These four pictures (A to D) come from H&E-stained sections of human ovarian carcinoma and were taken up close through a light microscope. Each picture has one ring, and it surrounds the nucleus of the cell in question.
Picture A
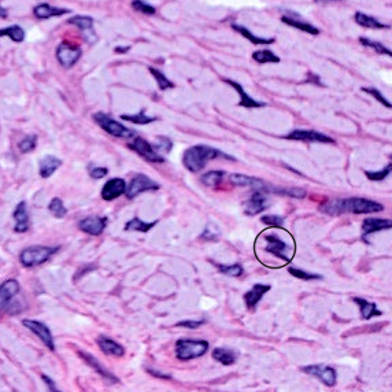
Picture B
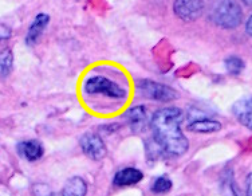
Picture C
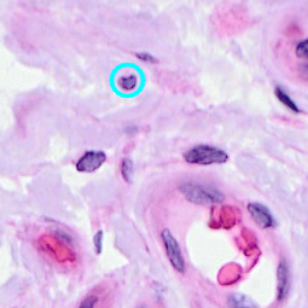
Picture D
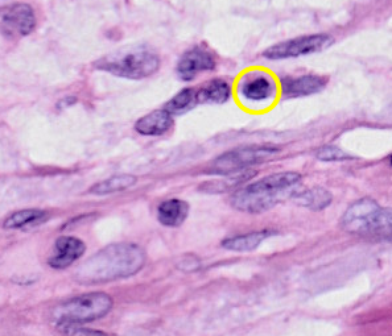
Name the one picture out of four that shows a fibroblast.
A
